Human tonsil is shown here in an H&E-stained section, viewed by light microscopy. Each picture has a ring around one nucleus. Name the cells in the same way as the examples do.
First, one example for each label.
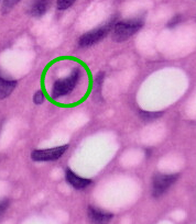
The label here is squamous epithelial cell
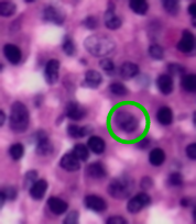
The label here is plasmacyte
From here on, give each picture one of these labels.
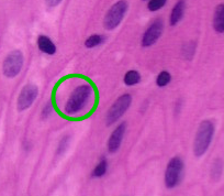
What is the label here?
squamous epithelial cell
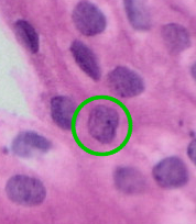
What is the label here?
squamous epithelial cell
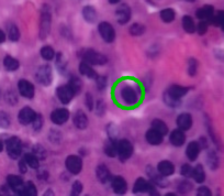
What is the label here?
plasmacyte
